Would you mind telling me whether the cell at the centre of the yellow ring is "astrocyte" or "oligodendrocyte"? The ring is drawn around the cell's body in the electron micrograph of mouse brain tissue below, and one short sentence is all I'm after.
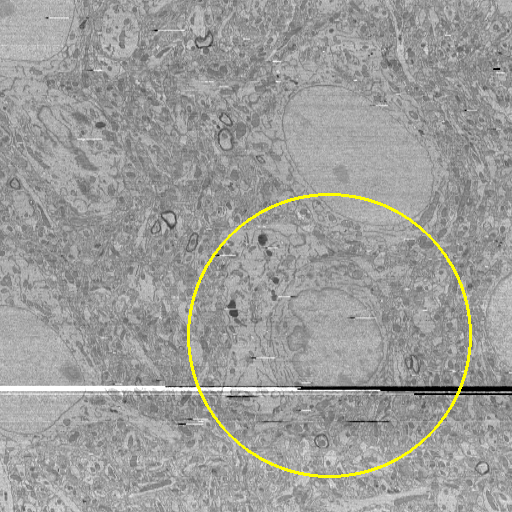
In the centre of the ring lies an oligodendrocyte.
